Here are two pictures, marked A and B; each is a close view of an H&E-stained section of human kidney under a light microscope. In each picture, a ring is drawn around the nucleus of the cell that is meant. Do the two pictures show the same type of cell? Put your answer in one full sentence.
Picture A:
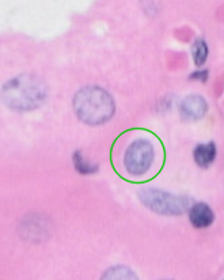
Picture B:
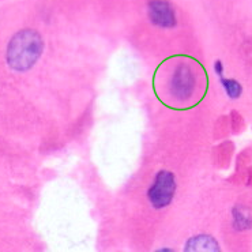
No. Picture A shows a collecting duct cell, but picture B shows a proximal tubule cell.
